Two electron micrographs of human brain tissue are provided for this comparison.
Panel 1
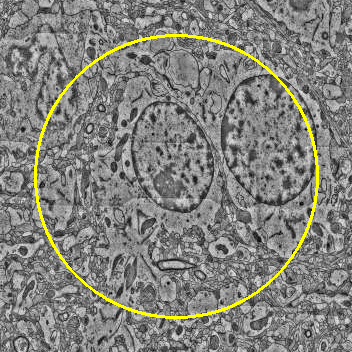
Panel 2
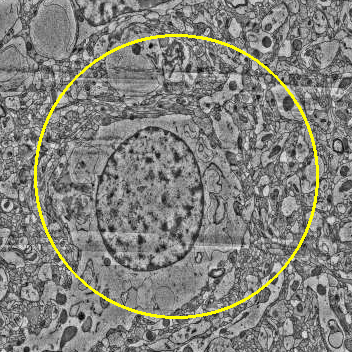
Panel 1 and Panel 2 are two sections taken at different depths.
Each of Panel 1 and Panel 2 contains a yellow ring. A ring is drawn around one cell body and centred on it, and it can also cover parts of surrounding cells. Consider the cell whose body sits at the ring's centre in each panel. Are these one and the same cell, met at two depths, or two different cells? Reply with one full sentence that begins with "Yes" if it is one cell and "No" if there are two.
No, the two yellow rings correspond to two separate cells.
